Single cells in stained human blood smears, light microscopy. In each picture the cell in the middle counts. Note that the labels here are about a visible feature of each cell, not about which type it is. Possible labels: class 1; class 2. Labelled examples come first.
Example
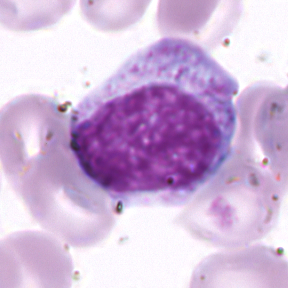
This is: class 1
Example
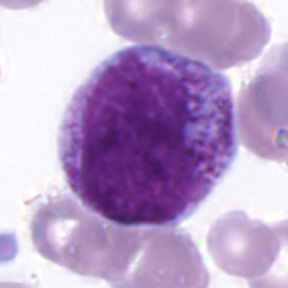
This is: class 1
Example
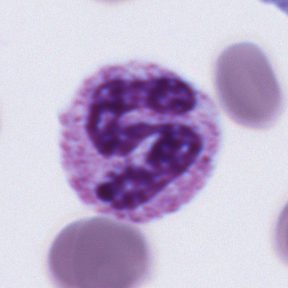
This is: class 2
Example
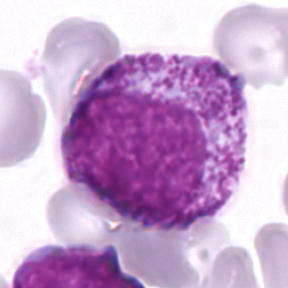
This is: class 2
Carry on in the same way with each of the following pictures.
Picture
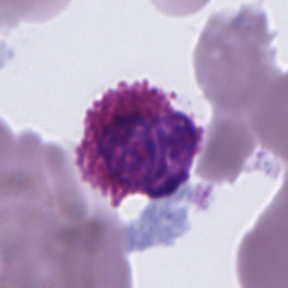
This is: class 2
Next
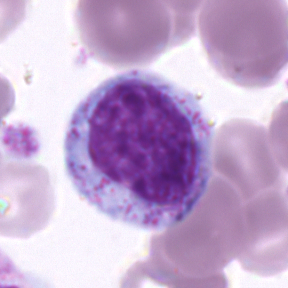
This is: class 1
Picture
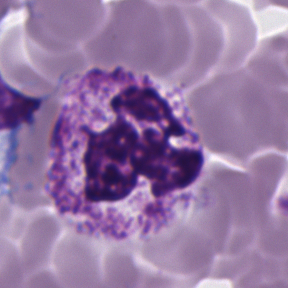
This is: class 2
